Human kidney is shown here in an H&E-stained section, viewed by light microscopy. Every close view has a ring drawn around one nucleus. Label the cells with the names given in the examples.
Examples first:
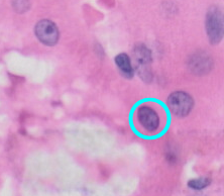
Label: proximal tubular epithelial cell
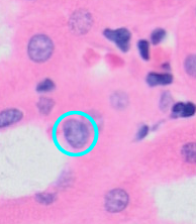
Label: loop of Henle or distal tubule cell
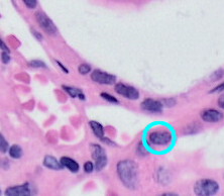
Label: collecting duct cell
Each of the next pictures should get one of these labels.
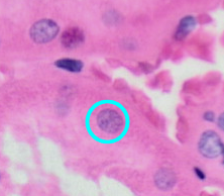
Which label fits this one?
proximal tubular epithelial cell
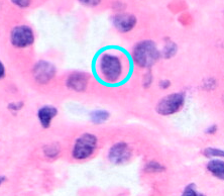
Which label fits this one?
loop of Henle or distal tubule cell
